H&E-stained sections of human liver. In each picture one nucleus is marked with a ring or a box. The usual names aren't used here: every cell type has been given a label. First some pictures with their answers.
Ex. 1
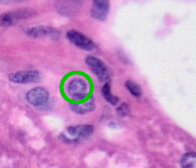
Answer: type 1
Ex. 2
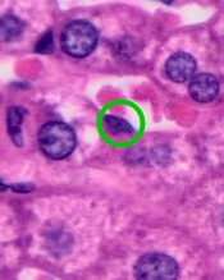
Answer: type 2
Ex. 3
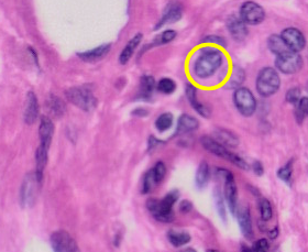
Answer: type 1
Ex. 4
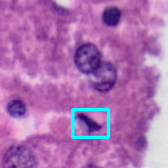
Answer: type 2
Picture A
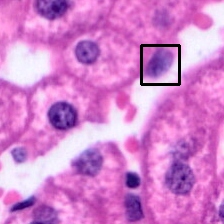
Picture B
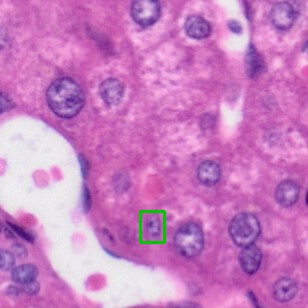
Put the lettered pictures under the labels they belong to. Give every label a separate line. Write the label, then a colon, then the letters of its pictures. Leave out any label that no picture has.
type 1: B
type 2: A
